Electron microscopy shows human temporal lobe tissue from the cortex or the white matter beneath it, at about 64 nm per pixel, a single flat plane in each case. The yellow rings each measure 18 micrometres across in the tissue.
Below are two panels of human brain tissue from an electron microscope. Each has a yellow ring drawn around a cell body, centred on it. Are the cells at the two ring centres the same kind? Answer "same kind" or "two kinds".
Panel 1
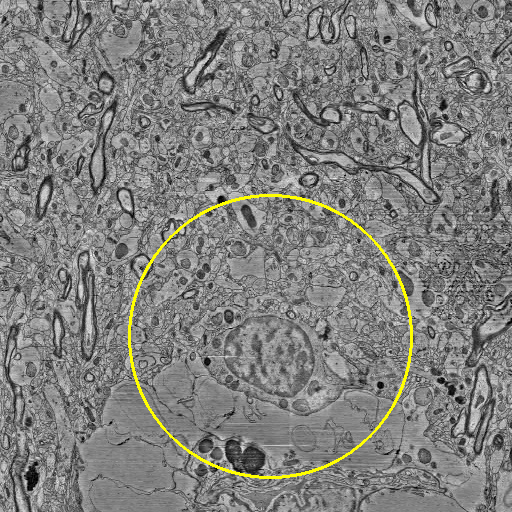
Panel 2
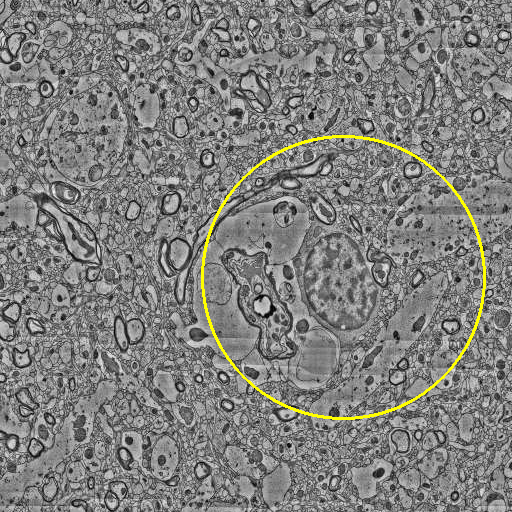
same kind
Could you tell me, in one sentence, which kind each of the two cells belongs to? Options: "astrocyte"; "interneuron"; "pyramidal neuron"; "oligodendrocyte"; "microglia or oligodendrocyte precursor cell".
Each of the two rings is centred on an oligodendrocyte.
